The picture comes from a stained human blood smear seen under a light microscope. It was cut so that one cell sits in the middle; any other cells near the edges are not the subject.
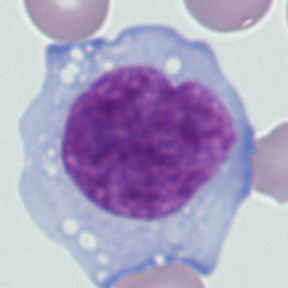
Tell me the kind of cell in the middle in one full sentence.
The cell centred in this crop is categorized as a myeloblast.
